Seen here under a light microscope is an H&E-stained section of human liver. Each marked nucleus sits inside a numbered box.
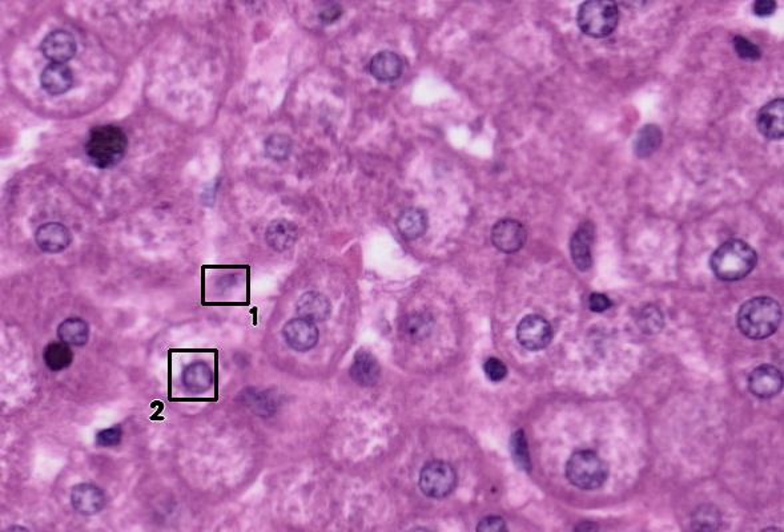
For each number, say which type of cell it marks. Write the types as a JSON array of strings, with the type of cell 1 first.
["Kupffer cell", "hepatocyte"]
